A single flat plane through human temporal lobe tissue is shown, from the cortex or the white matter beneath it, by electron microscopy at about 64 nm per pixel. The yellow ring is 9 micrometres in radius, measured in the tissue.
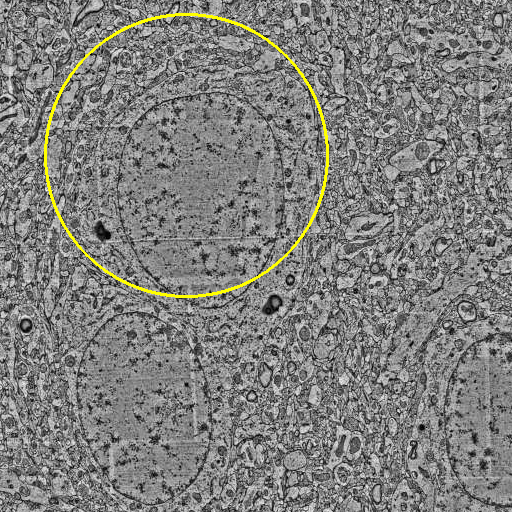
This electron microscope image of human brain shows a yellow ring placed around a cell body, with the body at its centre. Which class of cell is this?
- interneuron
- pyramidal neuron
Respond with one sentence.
The cell body at the ring's centre is a pyramidal neuron.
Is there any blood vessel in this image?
No, the image shows no blood vessel.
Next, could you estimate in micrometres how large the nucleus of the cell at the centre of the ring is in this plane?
About 14 micrometres by about 11 micrometres in this plane.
